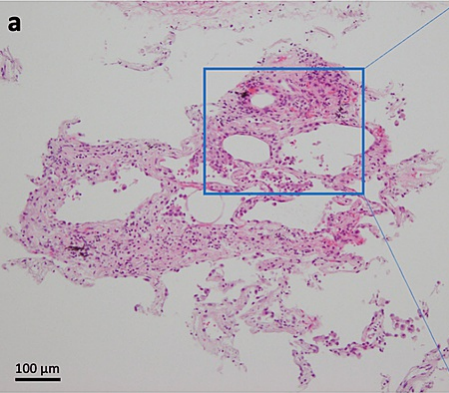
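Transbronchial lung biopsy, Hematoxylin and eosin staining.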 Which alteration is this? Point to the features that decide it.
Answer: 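Thin lace-like airspace walls widen into thick, cell-rich bands. Many small dark nuclei are crowded within the thickened walls. The thickened walls look pale and loose rather than densely pink and collagenous. On this evidence: edema and infiltration of inflammatory cells.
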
